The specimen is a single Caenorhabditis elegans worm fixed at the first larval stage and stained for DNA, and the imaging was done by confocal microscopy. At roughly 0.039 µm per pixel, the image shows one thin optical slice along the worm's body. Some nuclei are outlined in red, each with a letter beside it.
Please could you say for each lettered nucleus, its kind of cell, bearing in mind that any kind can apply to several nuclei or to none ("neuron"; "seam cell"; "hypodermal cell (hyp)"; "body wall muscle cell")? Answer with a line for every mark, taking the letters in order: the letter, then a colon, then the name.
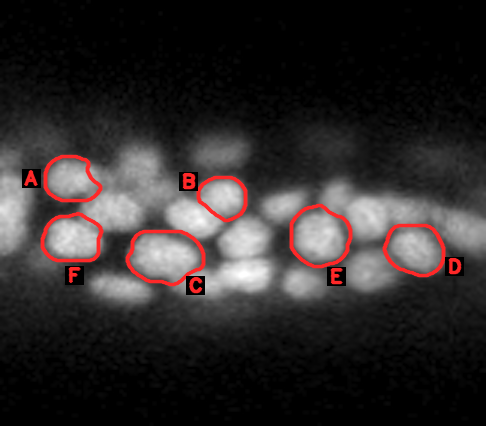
A: neuron
B: body wall muscle cell
C: neuron
D: hypodermal cell (hyp)
E: seam cell
F: neuron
